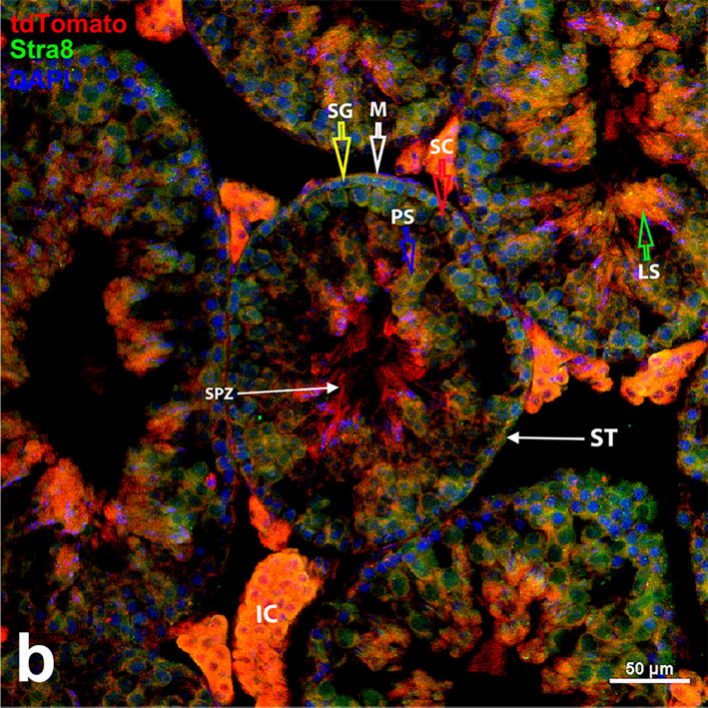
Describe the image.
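This is a section of testis with seminiferous tubules cut in cross section, each lined by a thick, multilayered germ epithelium, with interstitial tissue in between. The tubules appear as round profiles bounded by a thin outer border, along which a row of flattened blue nuclei lies at the base. Inward from the base, many rounded cells with blue nuclei are stacked in several layers, their cytoplasm carrying a diffuse greenish signal. Toward the lumen of a tubule, fine red filamentous strands converge, consistent with developing spermatozoa with their tails. In the spaces between tubules lie clusters of large, polygonal cells with bright orange-red cytoplasm, the interstitial Leydig cells.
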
